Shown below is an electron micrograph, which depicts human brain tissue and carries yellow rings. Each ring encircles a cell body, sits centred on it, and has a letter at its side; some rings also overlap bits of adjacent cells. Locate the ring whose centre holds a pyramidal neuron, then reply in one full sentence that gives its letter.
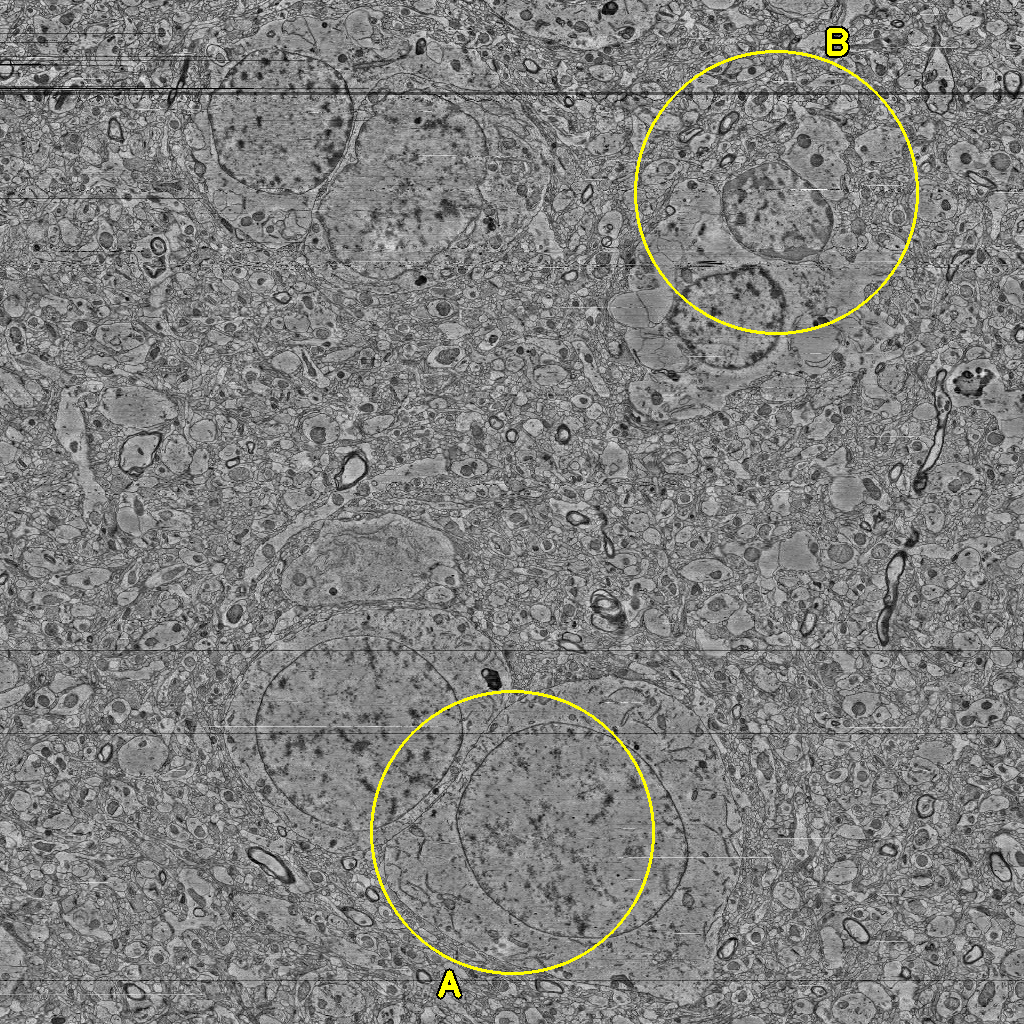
The ring centred on the cell asked for is the one marked A.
